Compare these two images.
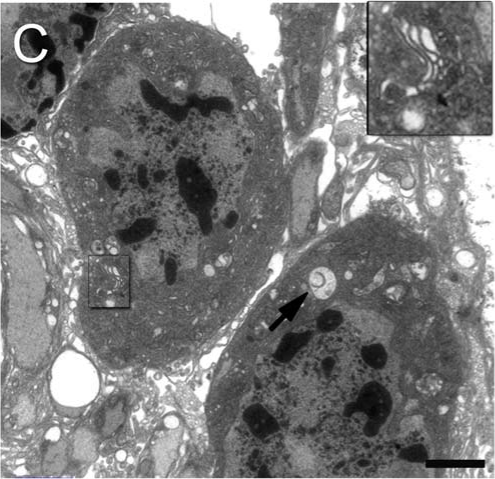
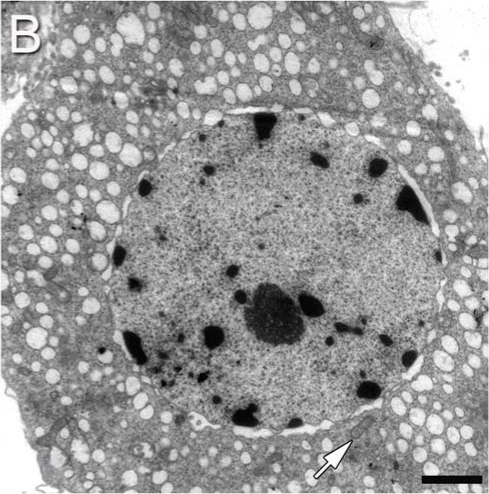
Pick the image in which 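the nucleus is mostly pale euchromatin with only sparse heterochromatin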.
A: The second image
